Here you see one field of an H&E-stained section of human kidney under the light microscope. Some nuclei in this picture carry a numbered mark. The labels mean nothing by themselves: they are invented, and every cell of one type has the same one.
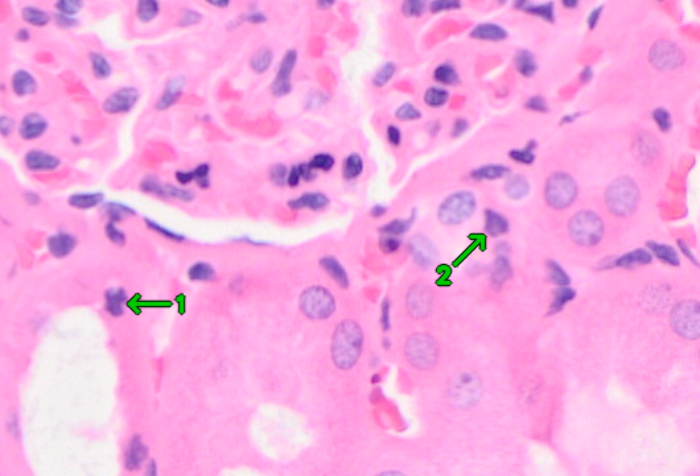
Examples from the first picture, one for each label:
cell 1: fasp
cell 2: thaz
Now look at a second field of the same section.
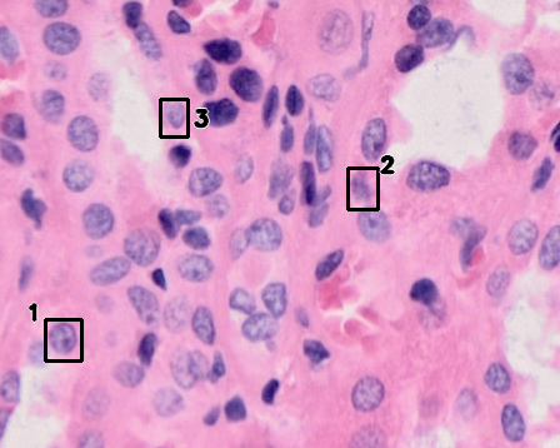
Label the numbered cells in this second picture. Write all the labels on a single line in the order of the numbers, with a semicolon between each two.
fasp; fasp; thaz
